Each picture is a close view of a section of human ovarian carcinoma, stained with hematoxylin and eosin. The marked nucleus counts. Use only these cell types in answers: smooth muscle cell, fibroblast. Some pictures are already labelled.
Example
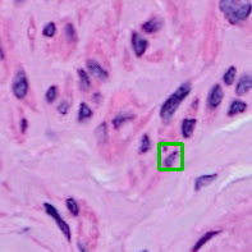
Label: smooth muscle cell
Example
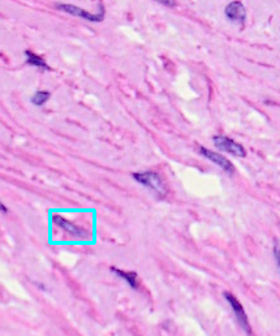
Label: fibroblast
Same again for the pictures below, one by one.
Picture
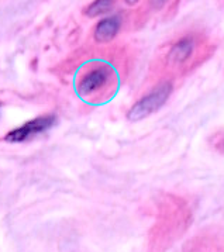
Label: smooth muscle cell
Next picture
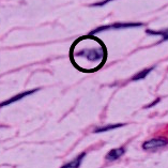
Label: fibroblast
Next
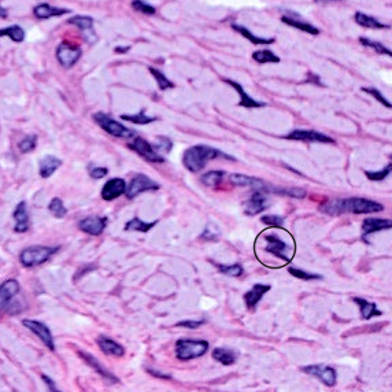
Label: fibroblast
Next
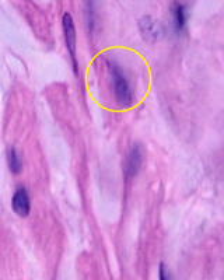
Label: smooth muscle cell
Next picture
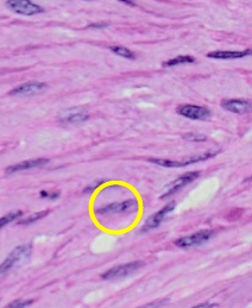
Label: fibroblast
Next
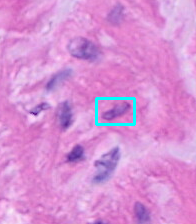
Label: smooth muscle cell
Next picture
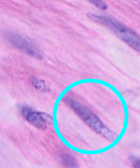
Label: smooth muscle cell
